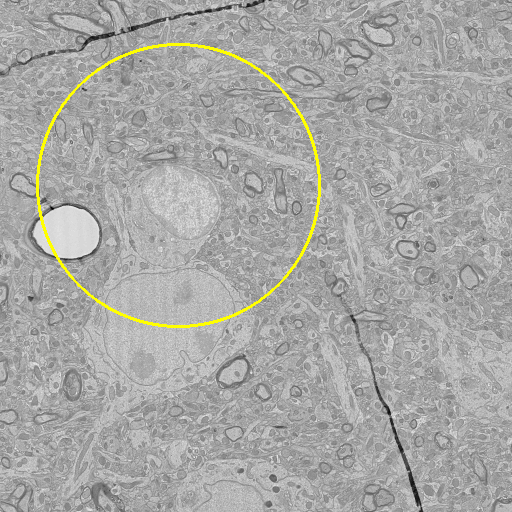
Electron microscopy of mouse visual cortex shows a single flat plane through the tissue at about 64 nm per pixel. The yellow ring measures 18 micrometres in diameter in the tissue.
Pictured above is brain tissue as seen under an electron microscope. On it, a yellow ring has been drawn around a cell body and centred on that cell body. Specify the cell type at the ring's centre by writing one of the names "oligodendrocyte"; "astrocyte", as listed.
oligodendrocyte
